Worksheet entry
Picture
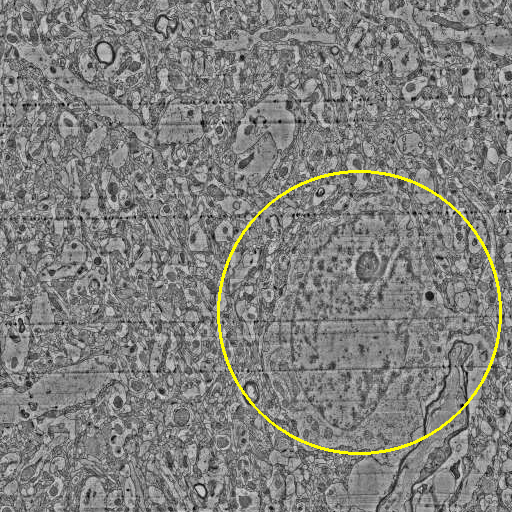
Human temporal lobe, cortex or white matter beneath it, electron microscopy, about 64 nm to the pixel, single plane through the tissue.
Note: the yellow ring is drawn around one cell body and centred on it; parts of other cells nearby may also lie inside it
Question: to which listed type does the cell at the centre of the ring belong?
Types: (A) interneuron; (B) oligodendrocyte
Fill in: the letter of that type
A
